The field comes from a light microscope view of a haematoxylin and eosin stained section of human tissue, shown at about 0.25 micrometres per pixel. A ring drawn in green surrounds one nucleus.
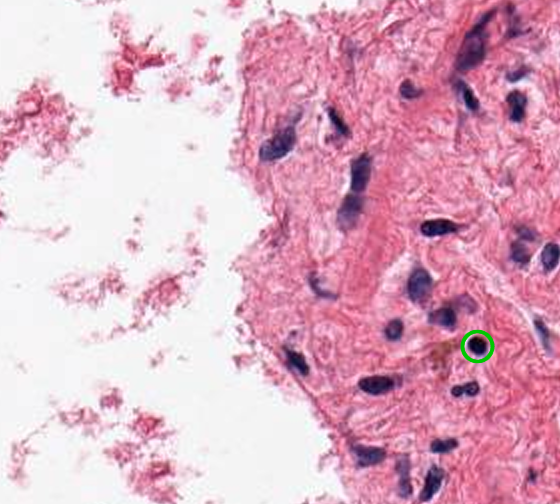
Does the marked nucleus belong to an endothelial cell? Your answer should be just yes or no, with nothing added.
no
